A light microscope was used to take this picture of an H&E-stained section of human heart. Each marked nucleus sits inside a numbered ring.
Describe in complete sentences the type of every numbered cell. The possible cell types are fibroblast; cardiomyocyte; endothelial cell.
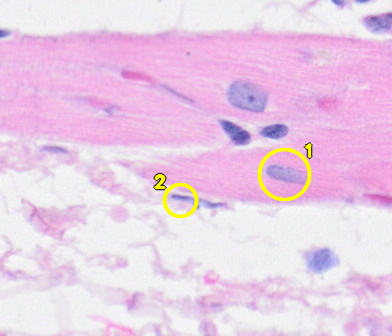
Cell 1 is a cardiomyocyte. Cell 2 is a fibroblast.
